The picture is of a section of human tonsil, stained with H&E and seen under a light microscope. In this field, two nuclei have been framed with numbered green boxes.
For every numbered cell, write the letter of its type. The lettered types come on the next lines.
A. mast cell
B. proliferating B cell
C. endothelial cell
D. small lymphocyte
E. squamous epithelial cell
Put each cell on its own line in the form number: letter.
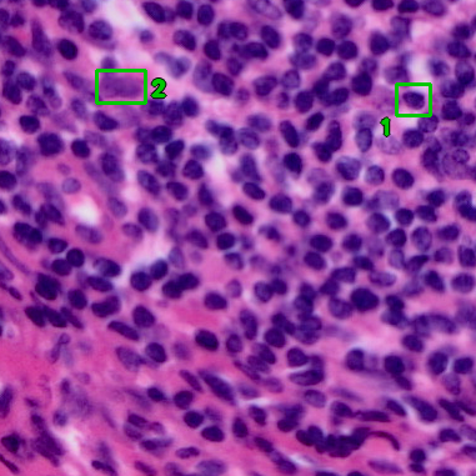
1: D
2: C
